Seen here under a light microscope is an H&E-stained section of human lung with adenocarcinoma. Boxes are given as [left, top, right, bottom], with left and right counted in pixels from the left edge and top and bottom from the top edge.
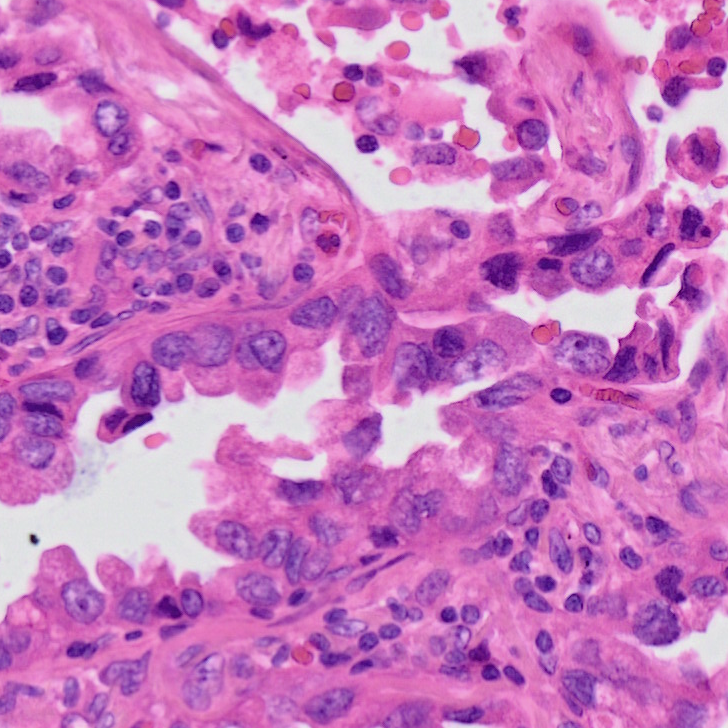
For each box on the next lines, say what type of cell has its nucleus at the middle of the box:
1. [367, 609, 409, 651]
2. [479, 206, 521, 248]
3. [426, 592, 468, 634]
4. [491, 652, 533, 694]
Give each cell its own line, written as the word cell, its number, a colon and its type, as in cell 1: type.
cell 1: lymphocyte
cell 2: carcinoma cell
cell 3: lymphocyte
cell 4: lymphocyte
